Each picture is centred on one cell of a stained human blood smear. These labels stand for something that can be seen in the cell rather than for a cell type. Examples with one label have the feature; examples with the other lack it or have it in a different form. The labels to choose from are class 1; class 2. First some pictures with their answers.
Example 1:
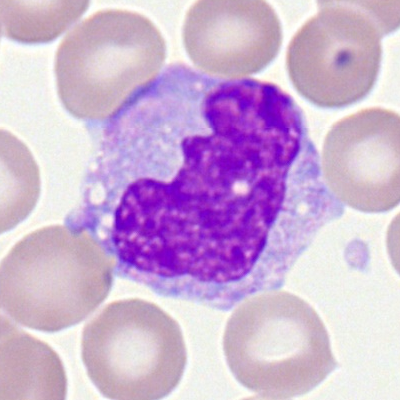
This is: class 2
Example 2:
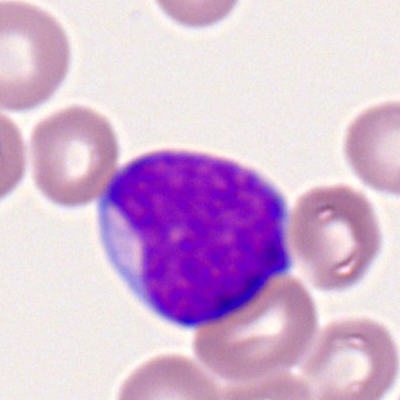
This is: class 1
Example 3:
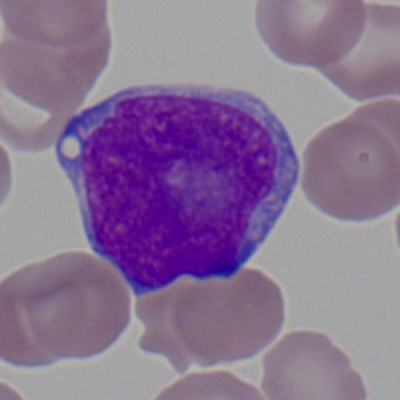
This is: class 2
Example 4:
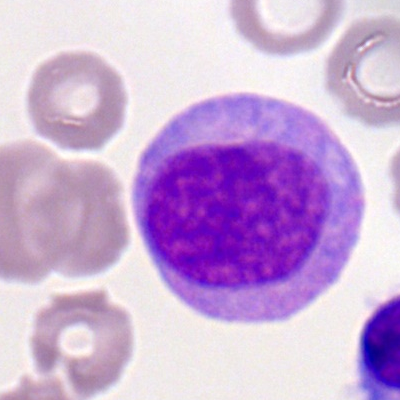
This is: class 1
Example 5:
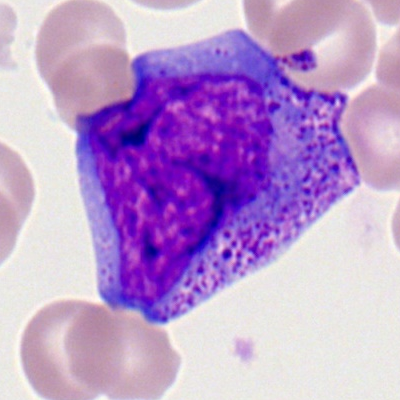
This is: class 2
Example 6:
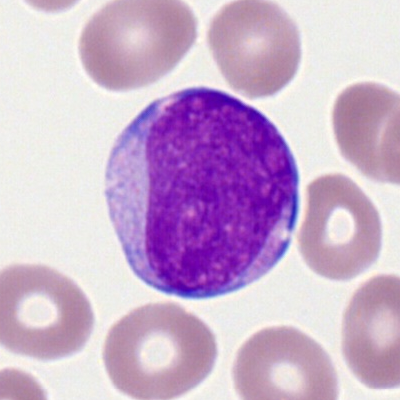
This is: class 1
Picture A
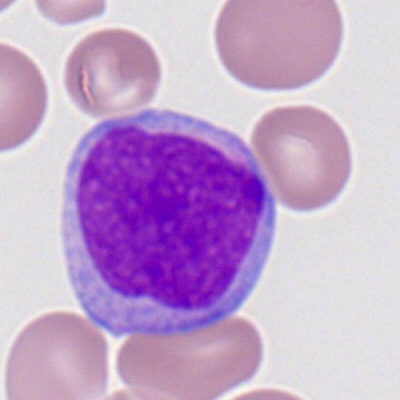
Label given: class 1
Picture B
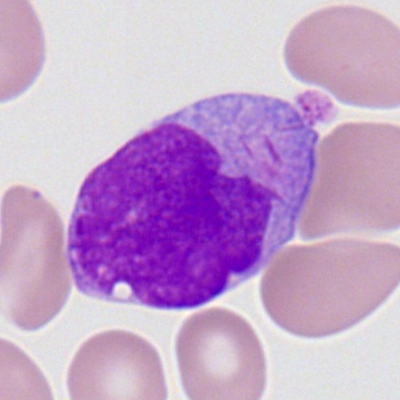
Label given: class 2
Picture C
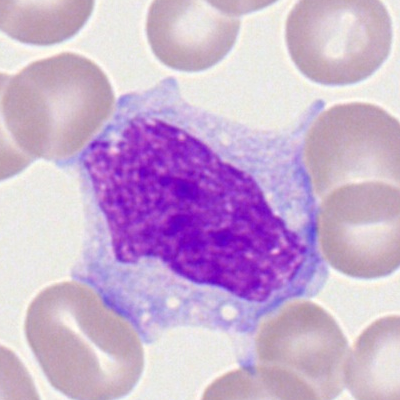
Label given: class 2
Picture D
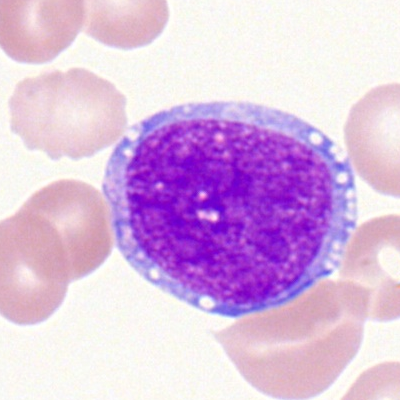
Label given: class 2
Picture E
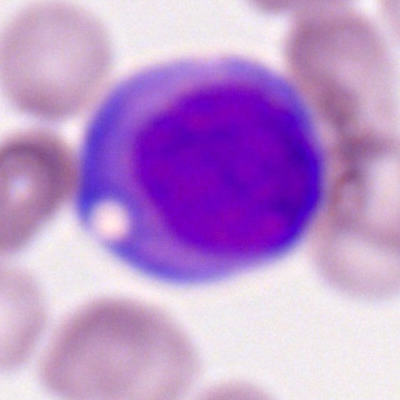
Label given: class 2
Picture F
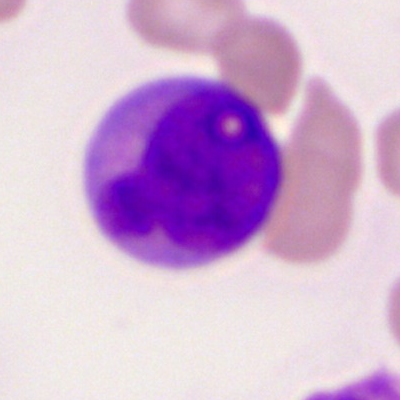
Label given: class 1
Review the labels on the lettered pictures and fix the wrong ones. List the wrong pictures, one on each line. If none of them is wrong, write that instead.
F is labelled class 1; correct label: class 2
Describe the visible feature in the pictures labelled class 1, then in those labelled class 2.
class 1: no vacuoles; class 2: vacuoles present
